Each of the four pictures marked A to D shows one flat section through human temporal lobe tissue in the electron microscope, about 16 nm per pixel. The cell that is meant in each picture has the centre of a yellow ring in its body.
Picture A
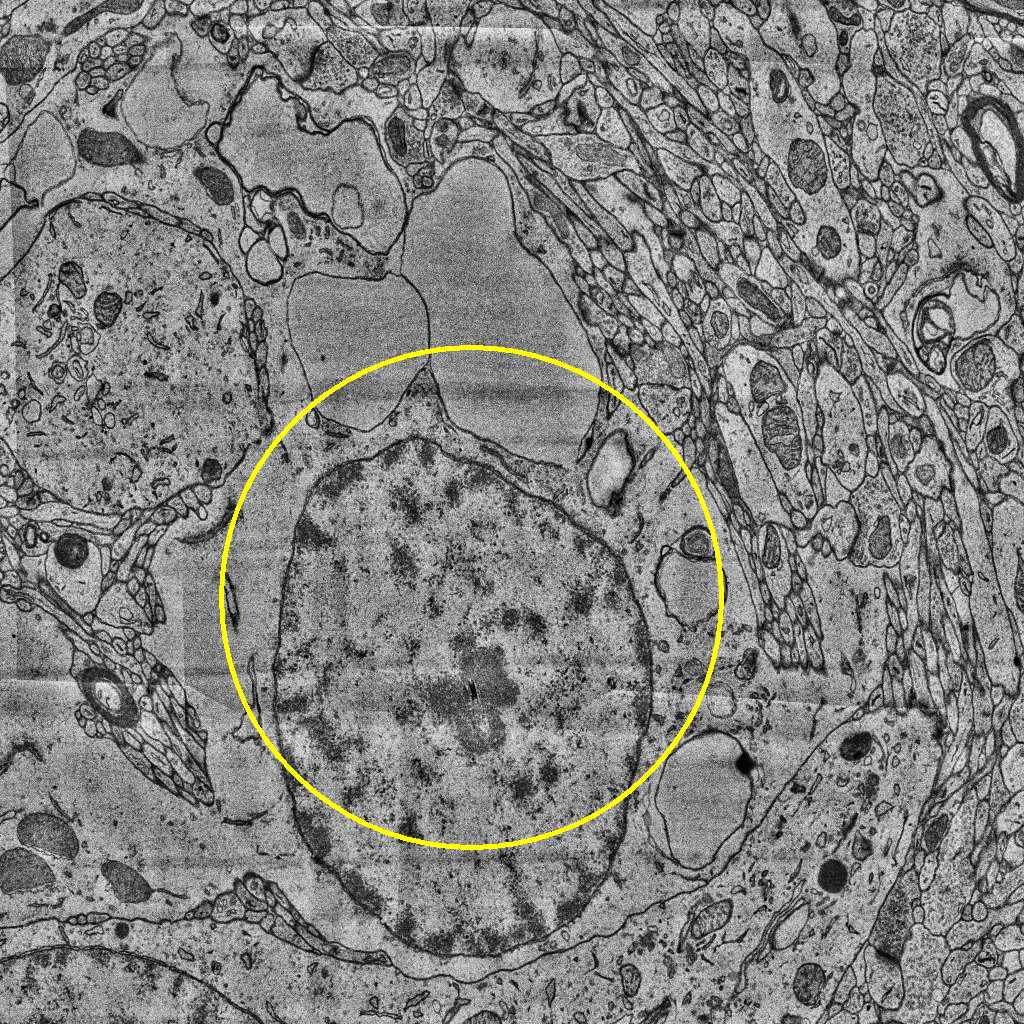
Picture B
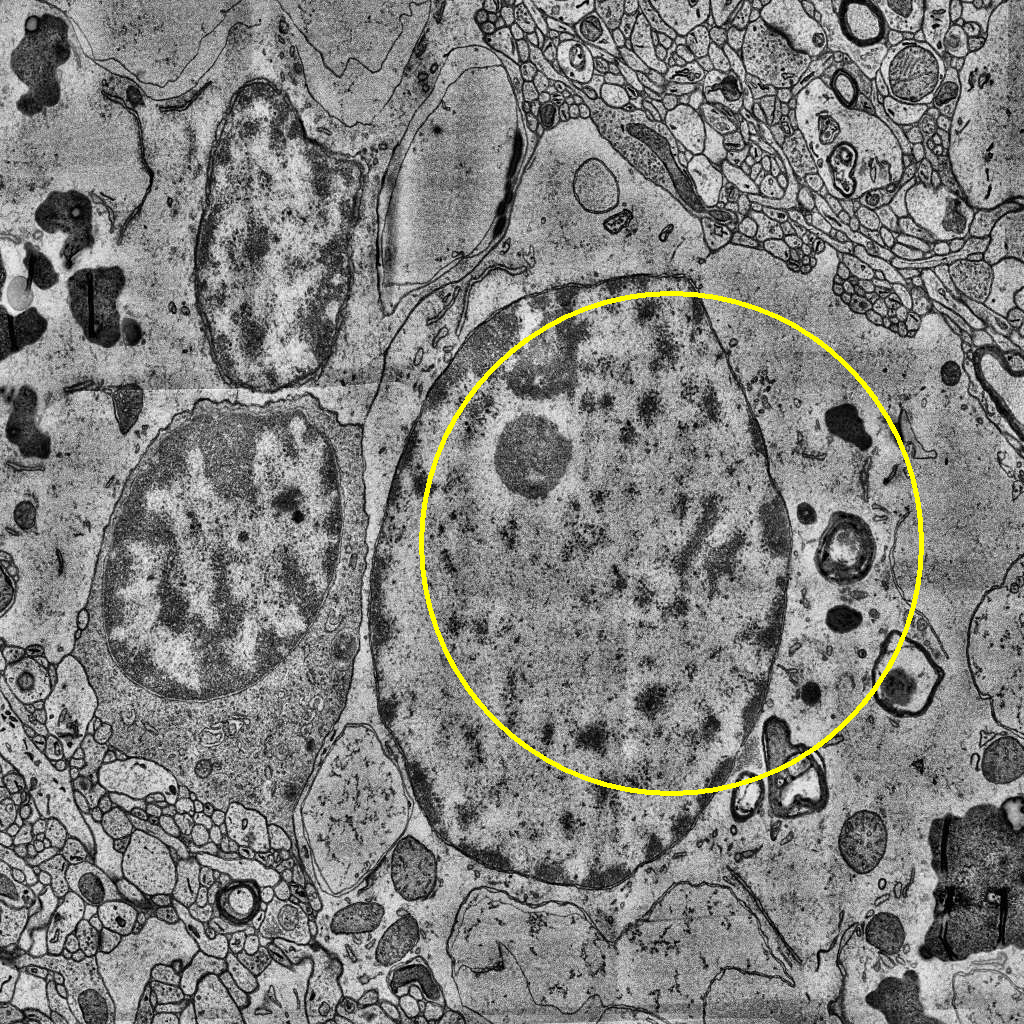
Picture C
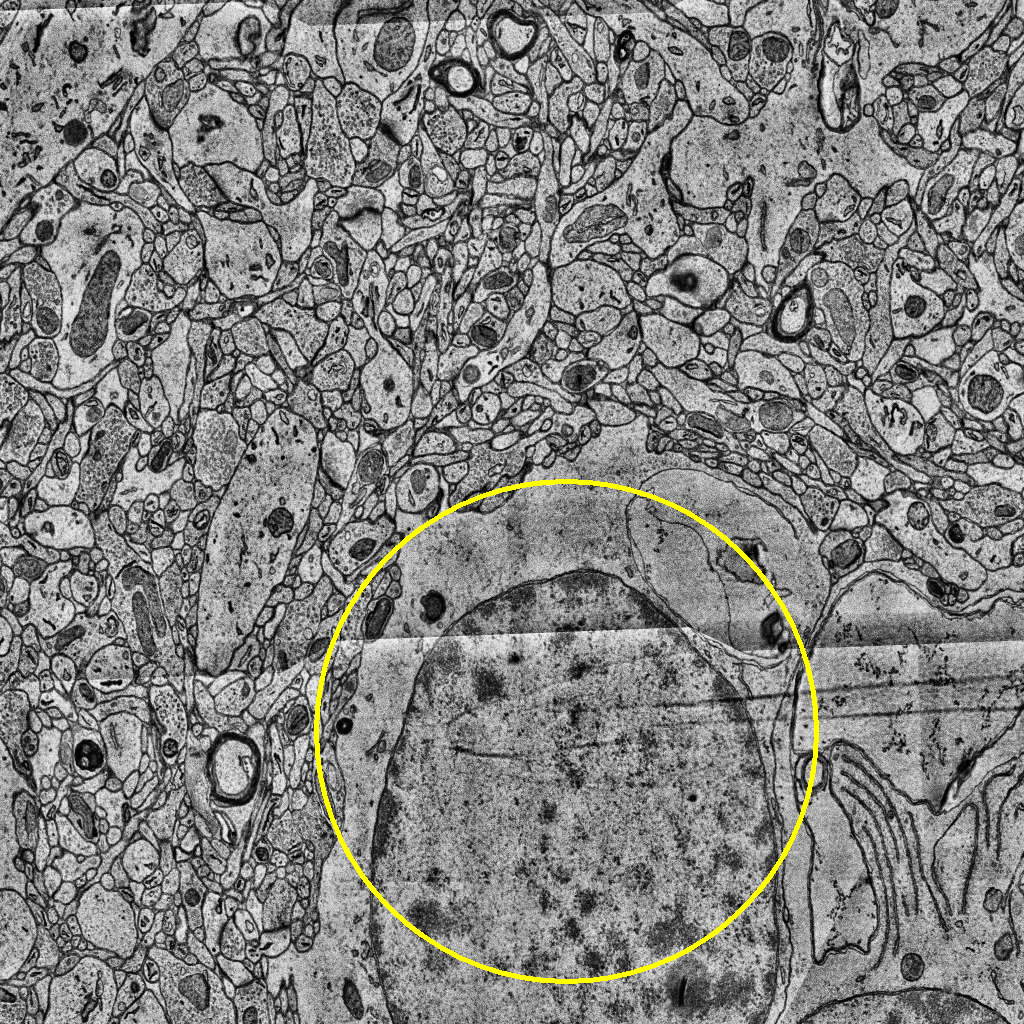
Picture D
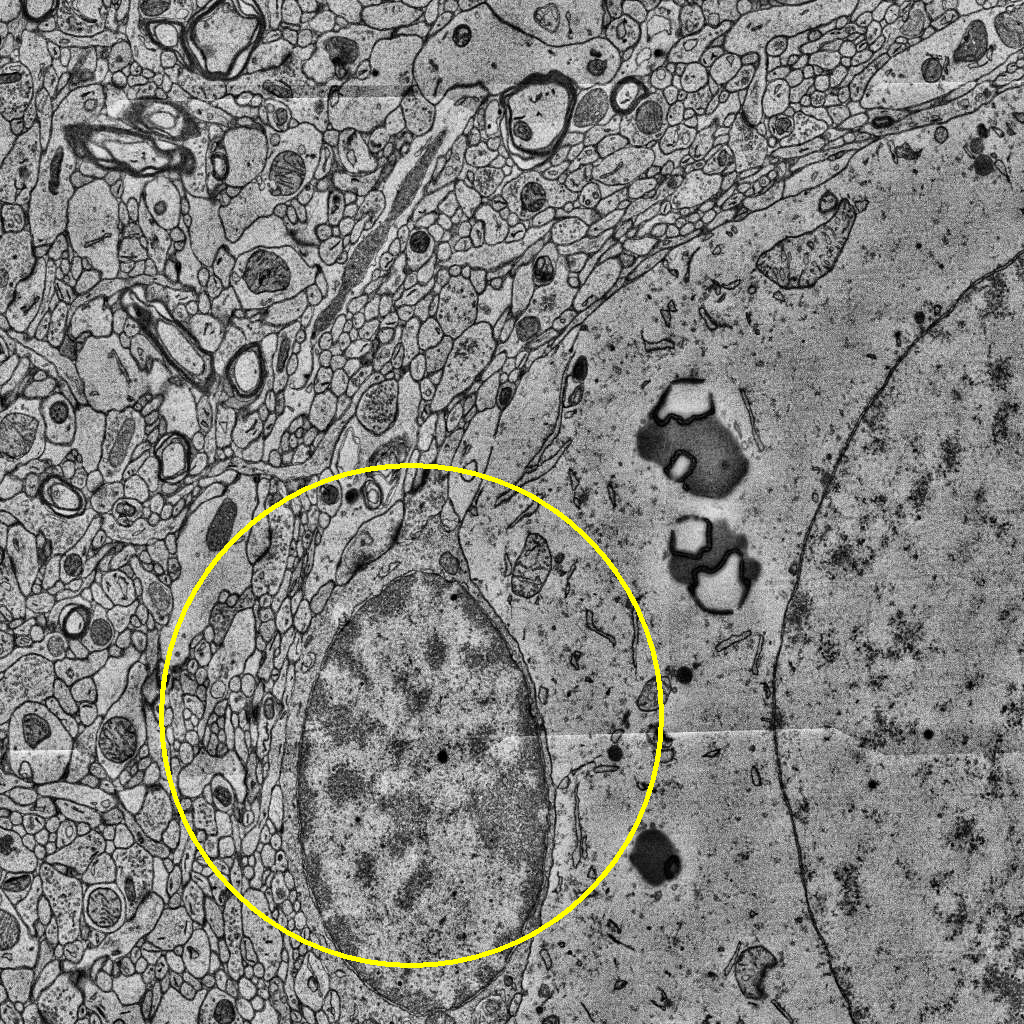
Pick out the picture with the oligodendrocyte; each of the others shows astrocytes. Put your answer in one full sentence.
The oligodendrocyte is the one in picture D.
